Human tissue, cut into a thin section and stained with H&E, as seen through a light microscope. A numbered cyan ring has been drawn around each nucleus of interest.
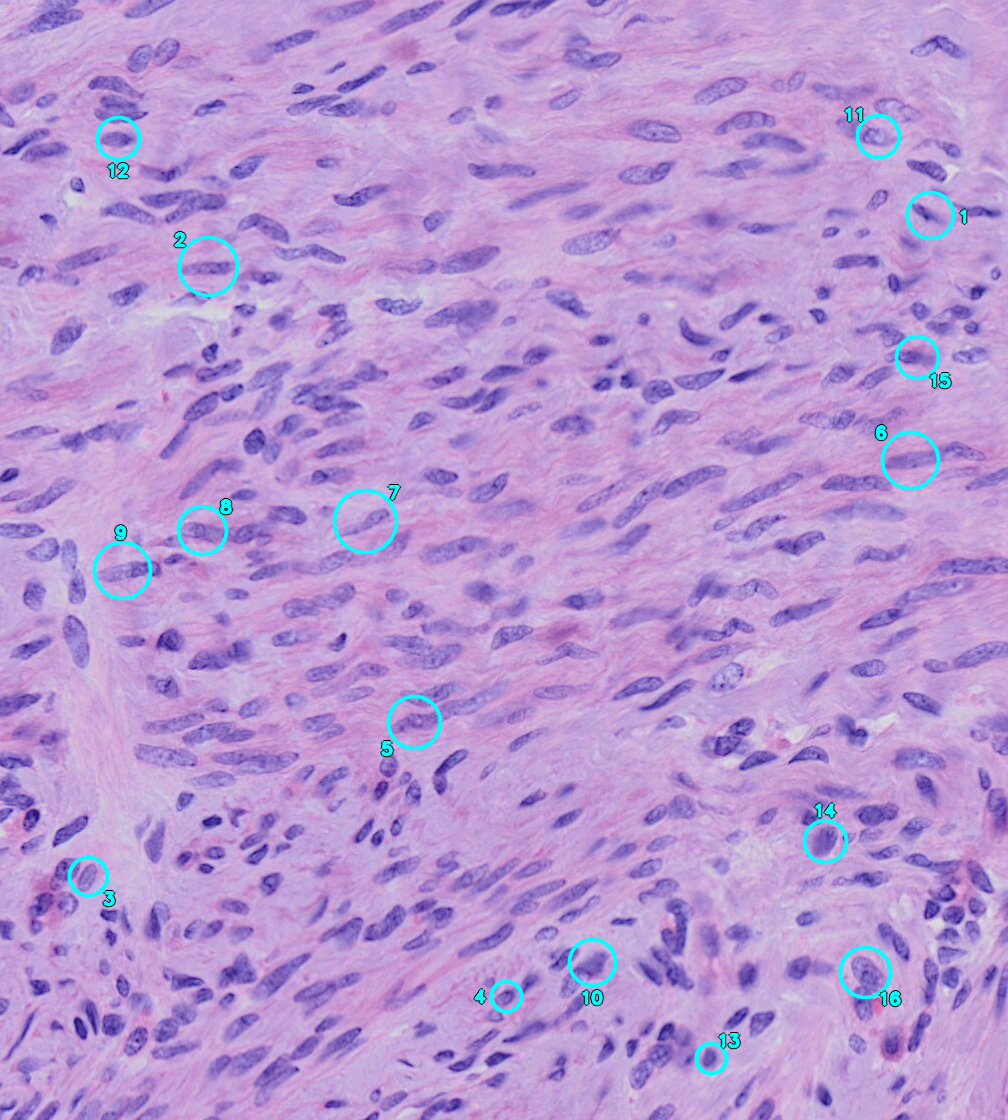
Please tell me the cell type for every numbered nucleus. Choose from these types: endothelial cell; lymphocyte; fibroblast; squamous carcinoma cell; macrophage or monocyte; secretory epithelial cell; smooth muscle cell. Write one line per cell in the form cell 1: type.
cell 1: fibroblast
cell 2: smooth muscle cell
cell 3: endothelial cell
cell 4: smooth muscle cell
cell 5: smooth muscle cell
cell 6: smooth muscle cell
cell 7: smooth muscle cell
cell 8: smooth muscle cell
cell 9: smooth muscle cell
cell 10: fibroblast
cell 11: smooth muscle cell
cell 12: fibroblast
cell 13: fibroblast
cell 14: fibroblast
cell 15: smooth muscle cell
cell 16: endothelial cell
